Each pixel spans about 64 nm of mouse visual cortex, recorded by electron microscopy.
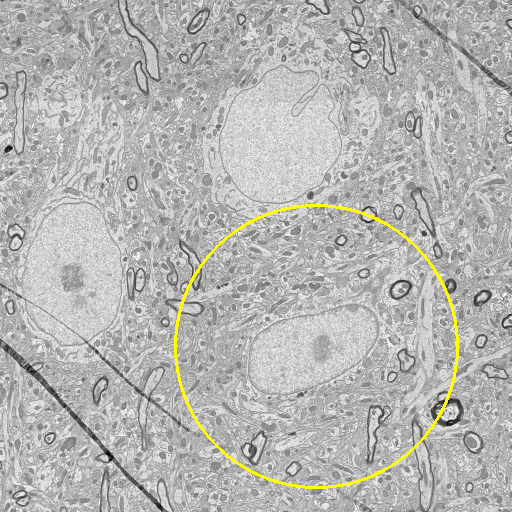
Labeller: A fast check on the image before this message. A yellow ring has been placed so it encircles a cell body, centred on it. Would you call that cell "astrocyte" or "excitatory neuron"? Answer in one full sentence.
In this image, an astrocyte is the cell on which the yellow ring is centred.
